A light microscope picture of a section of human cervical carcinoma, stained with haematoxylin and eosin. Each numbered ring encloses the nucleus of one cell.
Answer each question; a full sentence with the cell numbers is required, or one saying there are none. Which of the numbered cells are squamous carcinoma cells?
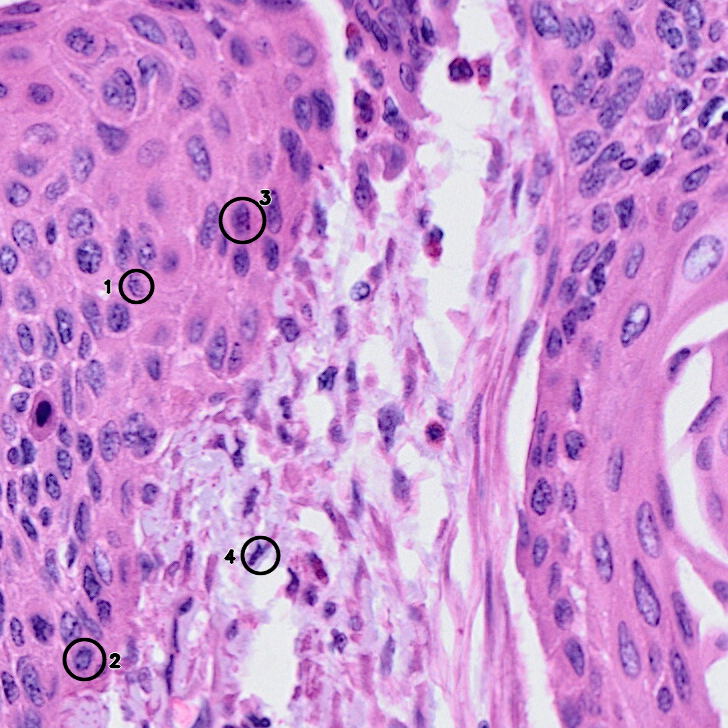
The cells that bear the numbers 1, 2 and 3 are squamous carcinoma cells.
